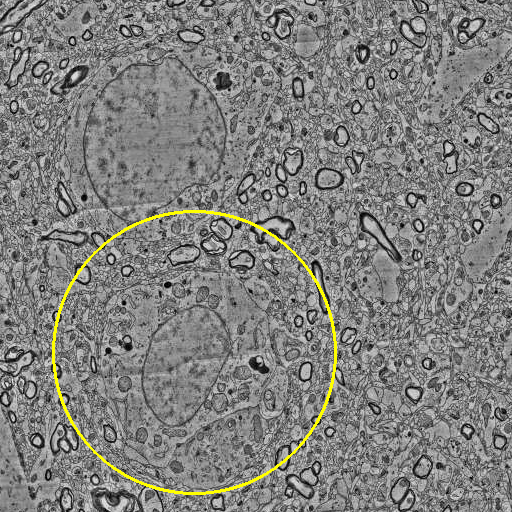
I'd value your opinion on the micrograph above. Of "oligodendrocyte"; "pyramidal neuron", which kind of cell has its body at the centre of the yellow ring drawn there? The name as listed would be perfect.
pyramidal neuron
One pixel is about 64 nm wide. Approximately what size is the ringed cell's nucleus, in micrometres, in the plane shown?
About 8 by 5 micrometers; the nucleus is clearly longer than it is wide in this plane.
